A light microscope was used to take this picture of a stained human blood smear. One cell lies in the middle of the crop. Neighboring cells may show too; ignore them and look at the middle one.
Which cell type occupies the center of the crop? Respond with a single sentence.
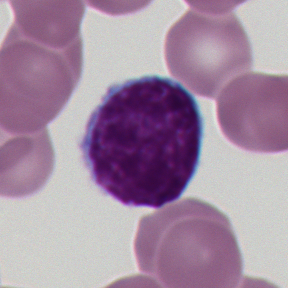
What the crop centres on is a typical lymphocyte.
